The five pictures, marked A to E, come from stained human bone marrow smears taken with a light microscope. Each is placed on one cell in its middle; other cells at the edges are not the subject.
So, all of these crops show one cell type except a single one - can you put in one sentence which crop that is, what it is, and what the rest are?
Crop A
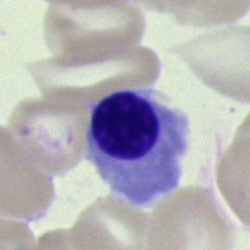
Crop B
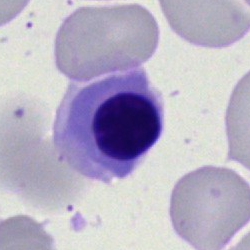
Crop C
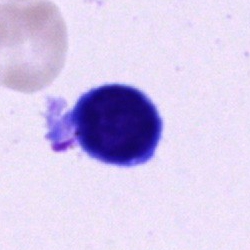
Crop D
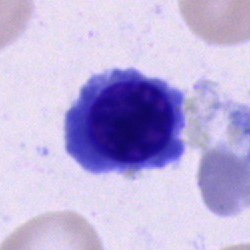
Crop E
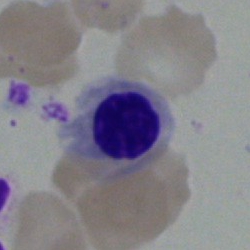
The remaining crops are all erythroblasts, so crop C, being a lymphocyte, is the exception.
